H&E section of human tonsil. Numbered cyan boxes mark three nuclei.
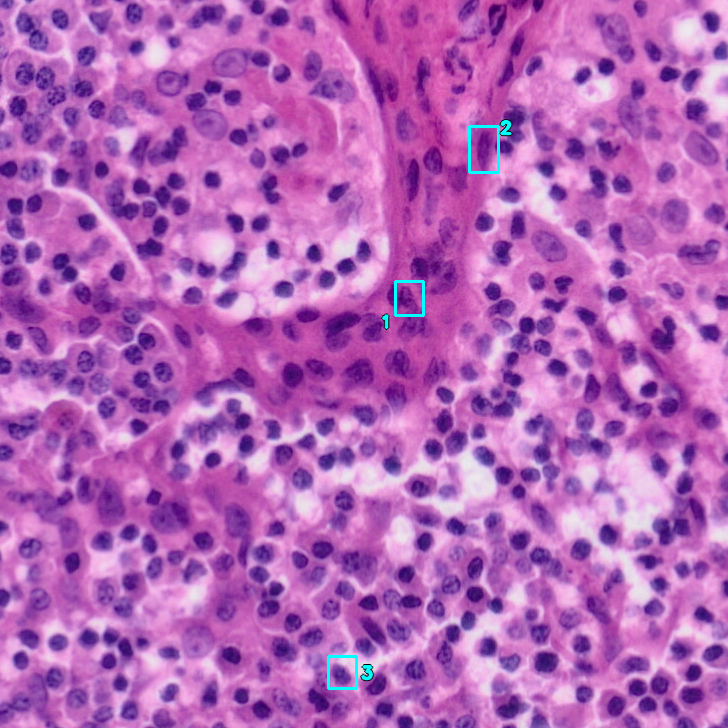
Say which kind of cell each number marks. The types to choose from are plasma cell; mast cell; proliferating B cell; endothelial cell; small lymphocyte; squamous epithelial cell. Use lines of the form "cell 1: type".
cell 1: squamous epithelial cell
cell 2: squamous epithelial cell
cell 3: plasma cell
